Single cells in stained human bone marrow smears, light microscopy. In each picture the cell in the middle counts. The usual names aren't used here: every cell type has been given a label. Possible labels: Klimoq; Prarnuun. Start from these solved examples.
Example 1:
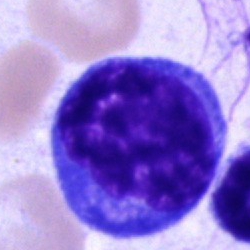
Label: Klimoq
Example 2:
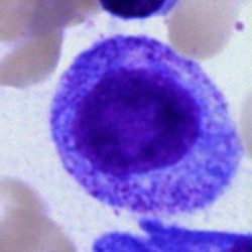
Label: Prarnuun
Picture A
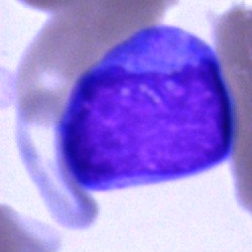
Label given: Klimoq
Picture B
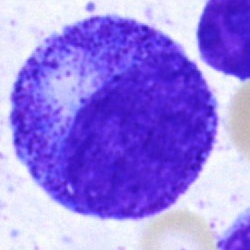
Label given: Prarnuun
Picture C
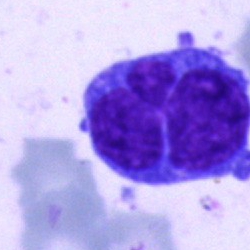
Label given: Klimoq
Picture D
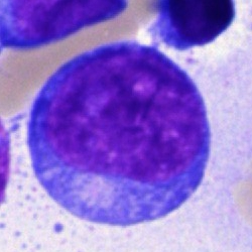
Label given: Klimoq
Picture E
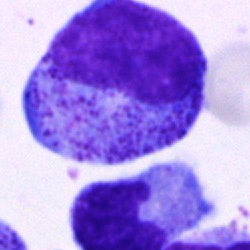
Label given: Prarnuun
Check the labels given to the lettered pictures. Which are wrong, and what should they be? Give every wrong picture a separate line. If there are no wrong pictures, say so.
None of the labels needs changing.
